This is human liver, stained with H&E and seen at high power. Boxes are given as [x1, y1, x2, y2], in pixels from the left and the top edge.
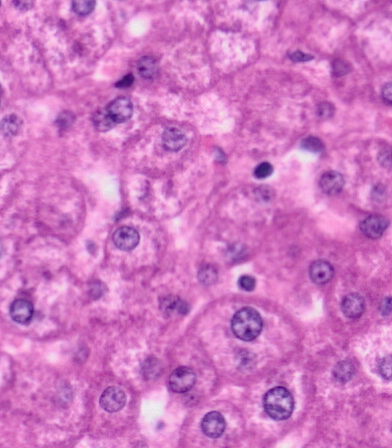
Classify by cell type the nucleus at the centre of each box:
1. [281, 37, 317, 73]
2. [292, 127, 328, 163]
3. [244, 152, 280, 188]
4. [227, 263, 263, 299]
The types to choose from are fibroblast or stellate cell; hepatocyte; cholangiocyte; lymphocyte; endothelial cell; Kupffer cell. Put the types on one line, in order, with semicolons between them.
endothelial cell; endothelial cell; lymphocyte; lymphocyte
